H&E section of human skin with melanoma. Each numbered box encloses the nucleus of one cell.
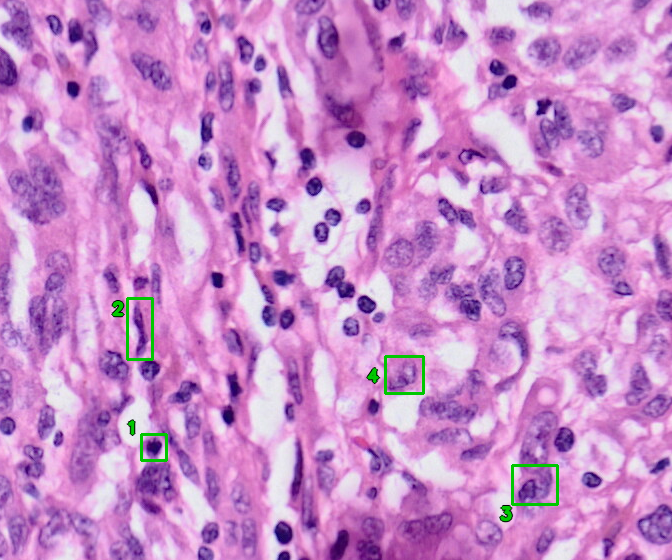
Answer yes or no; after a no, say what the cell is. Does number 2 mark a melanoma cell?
No, it is a fibroblast or myofibroblast.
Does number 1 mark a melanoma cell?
No, it is a lymphocyte.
